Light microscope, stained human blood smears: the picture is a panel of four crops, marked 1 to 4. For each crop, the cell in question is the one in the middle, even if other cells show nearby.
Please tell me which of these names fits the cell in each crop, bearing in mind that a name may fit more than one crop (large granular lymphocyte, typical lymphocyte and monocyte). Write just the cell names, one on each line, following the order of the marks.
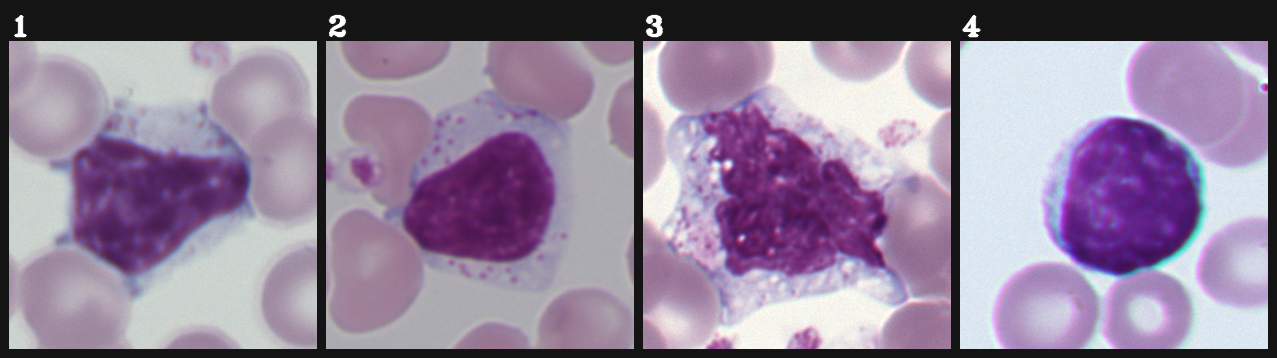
large granular lymphocyte
large granular lymphocyte
monocyte
typical lymphocyte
